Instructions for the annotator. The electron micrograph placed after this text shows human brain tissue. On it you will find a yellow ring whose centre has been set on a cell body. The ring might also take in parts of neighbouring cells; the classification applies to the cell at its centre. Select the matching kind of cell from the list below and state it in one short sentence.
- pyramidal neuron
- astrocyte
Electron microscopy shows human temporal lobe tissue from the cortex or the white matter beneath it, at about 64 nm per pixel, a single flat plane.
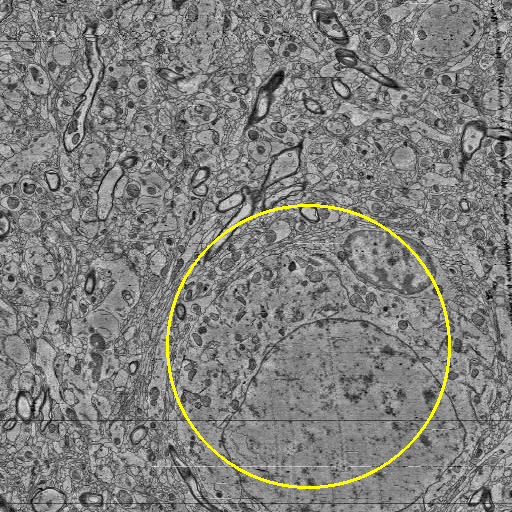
The ring is drawn on the cell body of a pyramidal neuron.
